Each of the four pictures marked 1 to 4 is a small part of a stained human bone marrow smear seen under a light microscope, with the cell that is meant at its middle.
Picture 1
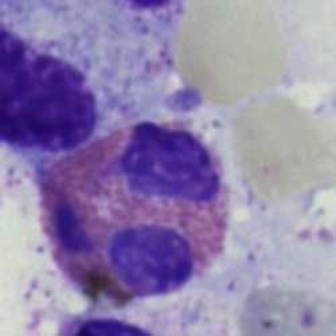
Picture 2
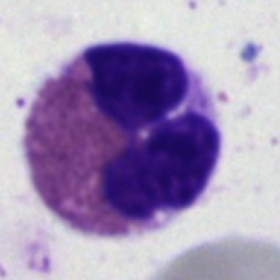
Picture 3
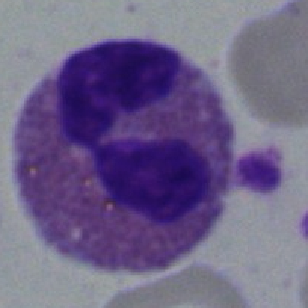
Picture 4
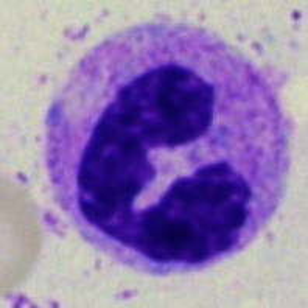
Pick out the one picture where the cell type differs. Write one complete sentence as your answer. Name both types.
Picture 4 is the odd one out: it shows a segmented neutrophil, while the others show eosinophils.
